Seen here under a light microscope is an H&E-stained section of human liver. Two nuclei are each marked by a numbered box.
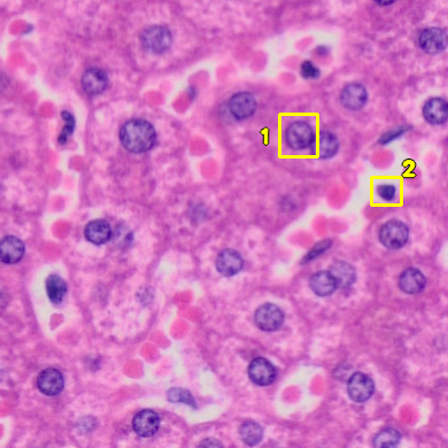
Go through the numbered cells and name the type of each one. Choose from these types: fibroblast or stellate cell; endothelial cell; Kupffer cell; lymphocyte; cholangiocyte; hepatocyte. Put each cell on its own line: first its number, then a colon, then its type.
1: hepatocyte
2: lymphocyte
